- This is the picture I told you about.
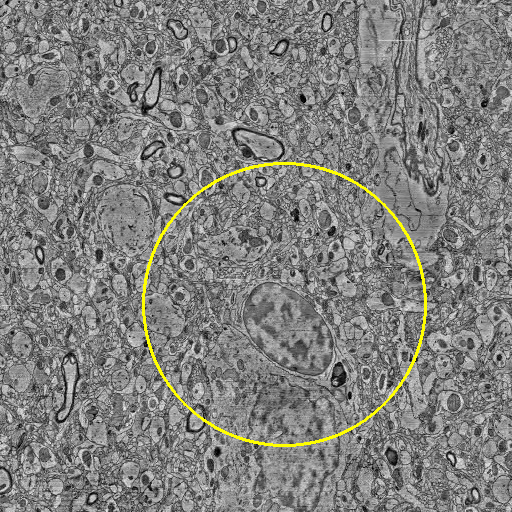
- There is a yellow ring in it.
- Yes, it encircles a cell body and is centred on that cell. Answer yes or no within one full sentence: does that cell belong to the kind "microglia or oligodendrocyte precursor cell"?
Yes, that cell, the one the yellow ring is centred on, belongs to this kind.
